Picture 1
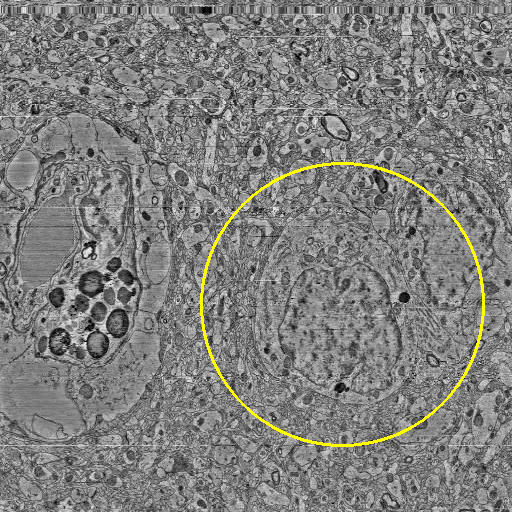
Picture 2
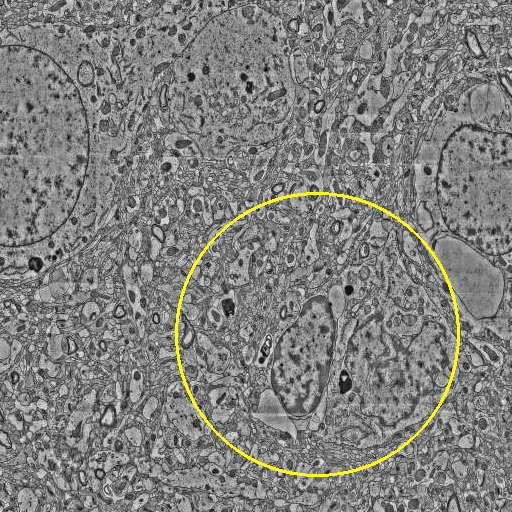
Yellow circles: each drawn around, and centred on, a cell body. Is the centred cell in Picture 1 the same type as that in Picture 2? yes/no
no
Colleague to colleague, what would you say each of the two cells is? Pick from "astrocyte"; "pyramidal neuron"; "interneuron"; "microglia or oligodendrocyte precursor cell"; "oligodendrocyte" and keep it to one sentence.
The cell in the first picture is an interneuron; the second picture's cell is a microglial cell or oligodendrocyte precursor cell.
